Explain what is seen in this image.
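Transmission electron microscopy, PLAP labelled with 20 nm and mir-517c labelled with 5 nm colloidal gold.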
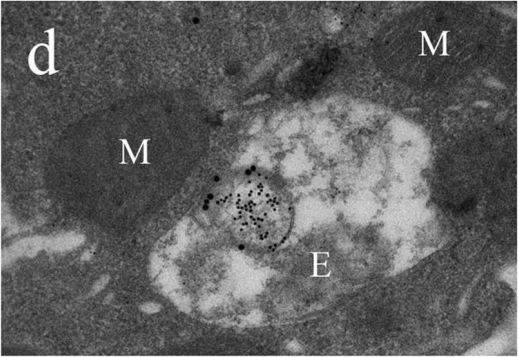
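This electron micrograph shows the cytoplasm of a cell with a large, pale endosome holding loose, fluffy material. Inside the endosome lies a small round vesicle thickly covered with tiny black gold particles, with a few larger ones at its rim. Dense mitochondria sit against the endosome on either side.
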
